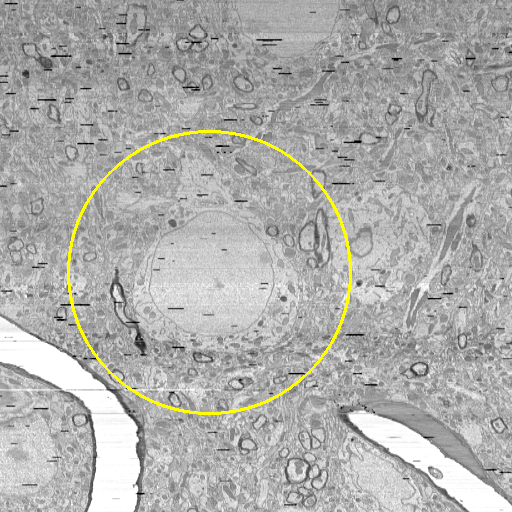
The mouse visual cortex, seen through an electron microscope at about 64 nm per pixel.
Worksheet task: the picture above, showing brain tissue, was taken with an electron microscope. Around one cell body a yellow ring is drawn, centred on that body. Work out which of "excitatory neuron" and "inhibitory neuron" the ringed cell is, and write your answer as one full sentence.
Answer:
It is an excitatory neuron whose cell body lies at the centre of the yellow ring.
